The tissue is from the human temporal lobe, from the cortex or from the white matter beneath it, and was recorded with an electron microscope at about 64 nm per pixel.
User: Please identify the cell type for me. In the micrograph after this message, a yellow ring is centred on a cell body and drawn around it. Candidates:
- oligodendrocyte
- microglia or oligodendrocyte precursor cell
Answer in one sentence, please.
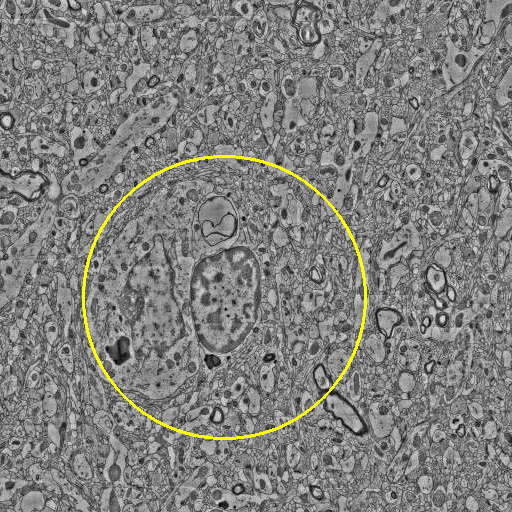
The ring is drawn around the cell body of a microglial cell or oligodendrocyte precursor cell.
